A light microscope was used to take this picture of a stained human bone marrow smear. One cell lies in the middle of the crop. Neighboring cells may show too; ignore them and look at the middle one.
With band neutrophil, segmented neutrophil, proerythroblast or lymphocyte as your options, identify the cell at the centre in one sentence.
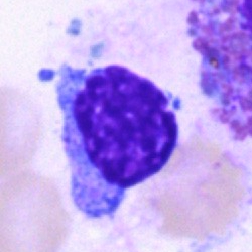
The cell at the centre of the field is a lymphocyte.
